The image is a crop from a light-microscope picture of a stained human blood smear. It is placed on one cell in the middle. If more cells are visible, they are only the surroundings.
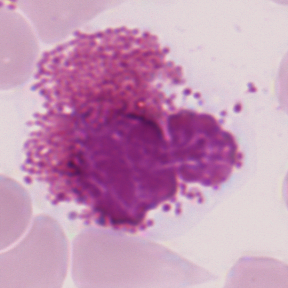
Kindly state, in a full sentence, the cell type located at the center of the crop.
For this crop, the cell in the middle is an eosinophil.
